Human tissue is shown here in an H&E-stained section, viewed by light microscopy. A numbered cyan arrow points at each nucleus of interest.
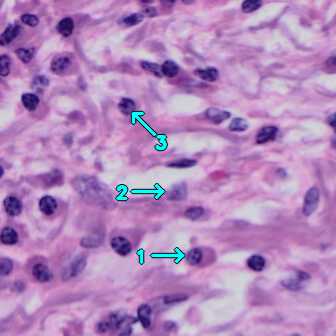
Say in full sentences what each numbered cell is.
Cells 1 and 3 are plasma cells. Cell 2 is an endothelial cell.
